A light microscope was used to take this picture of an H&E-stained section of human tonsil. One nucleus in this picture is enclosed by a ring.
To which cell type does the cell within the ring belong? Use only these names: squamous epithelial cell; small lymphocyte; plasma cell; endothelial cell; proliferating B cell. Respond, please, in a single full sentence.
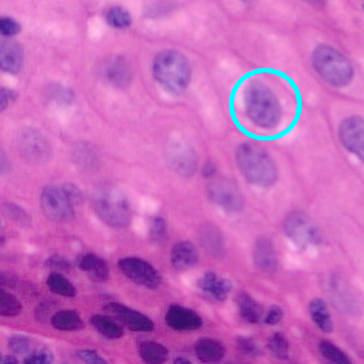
In this tissue section, the cell within the ring is to be classed as a squamous epithelial cell.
